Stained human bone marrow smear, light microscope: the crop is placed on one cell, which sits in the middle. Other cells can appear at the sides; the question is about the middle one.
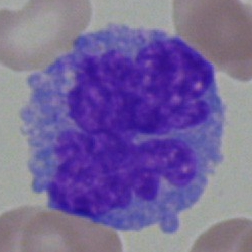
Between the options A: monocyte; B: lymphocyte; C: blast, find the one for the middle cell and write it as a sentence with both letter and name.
What sits in the middle of the crop is a monocyte, and option A is correct.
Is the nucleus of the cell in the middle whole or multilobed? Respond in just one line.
Two or more lobes make up the nucleus of this cell.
